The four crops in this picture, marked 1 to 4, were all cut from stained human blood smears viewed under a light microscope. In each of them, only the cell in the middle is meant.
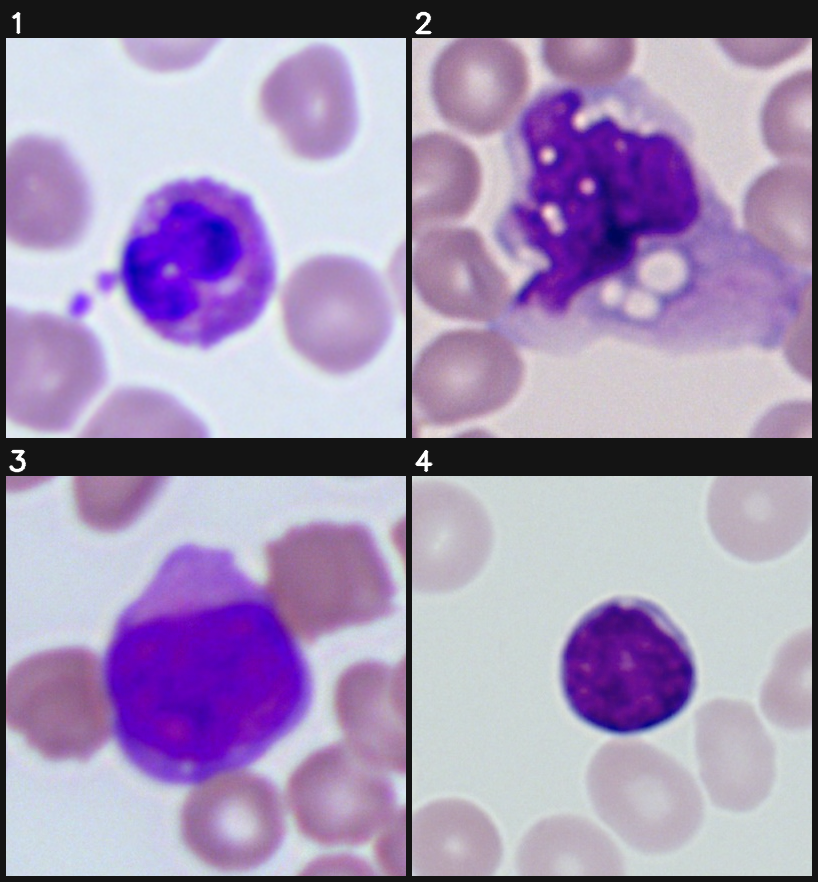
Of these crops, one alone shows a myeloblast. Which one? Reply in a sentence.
Crop 3 is where a myeloblast is to be found.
